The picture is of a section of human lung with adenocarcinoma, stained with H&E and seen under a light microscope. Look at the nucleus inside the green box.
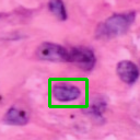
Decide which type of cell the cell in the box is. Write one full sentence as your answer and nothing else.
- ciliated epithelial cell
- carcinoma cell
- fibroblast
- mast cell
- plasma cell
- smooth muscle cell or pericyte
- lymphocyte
Speaking plainly, the cell in the box is nothing other than a mast cell.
